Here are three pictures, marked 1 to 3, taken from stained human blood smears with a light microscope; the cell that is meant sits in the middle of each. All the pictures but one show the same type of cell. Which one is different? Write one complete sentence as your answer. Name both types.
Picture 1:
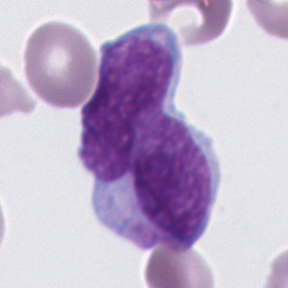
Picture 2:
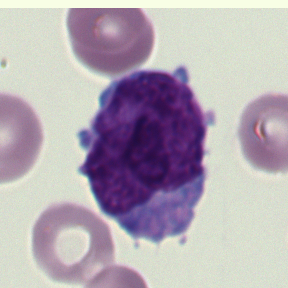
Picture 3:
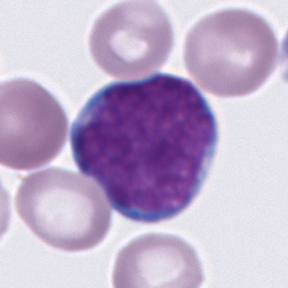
All pictures except 3 show atypical promyelocytes; picture 3 shows a myeloblast.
